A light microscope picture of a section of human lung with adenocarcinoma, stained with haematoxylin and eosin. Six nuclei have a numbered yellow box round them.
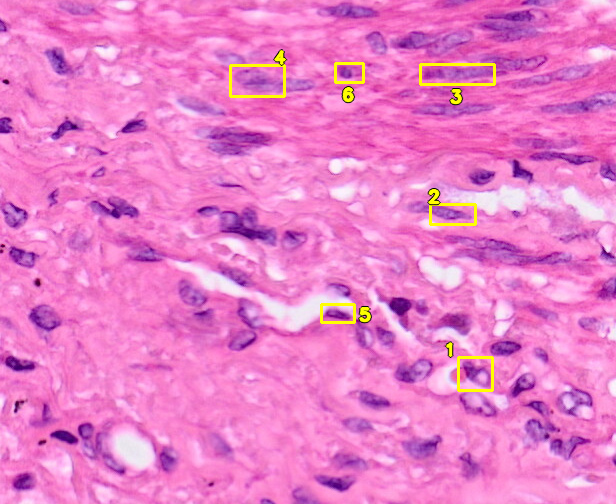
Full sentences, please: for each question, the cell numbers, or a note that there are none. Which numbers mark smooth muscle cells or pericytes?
The cells with the number labels 2, 3, 4 and 6 are smooth muscle cells or pericytes.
